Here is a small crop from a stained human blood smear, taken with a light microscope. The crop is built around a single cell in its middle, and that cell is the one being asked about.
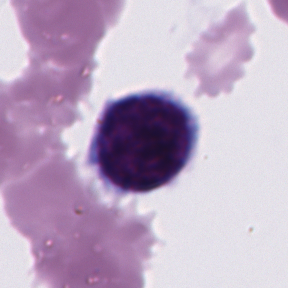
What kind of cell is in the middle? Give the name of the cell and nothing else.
hairy cell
